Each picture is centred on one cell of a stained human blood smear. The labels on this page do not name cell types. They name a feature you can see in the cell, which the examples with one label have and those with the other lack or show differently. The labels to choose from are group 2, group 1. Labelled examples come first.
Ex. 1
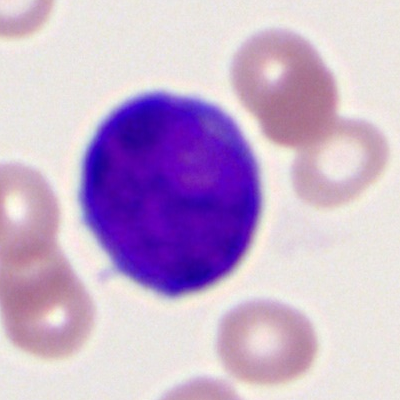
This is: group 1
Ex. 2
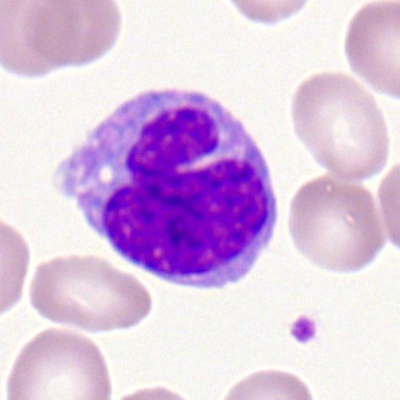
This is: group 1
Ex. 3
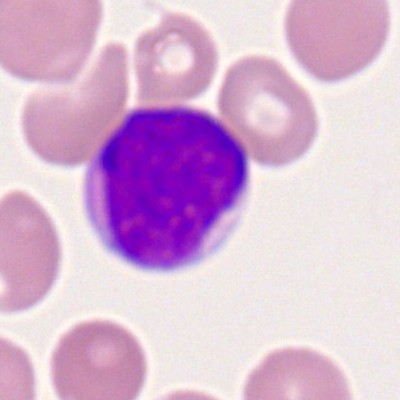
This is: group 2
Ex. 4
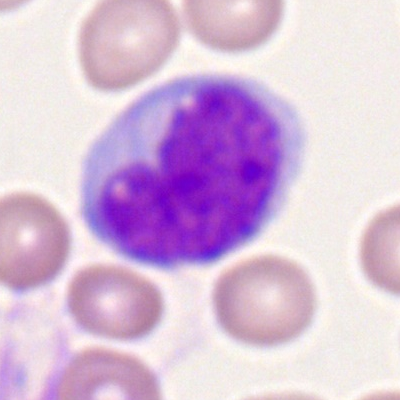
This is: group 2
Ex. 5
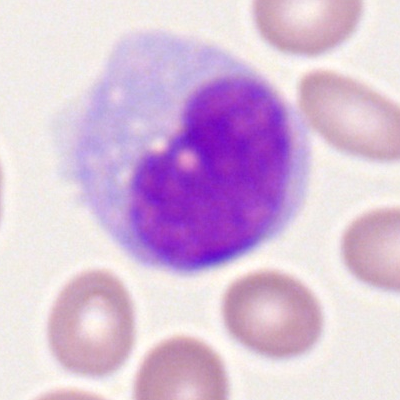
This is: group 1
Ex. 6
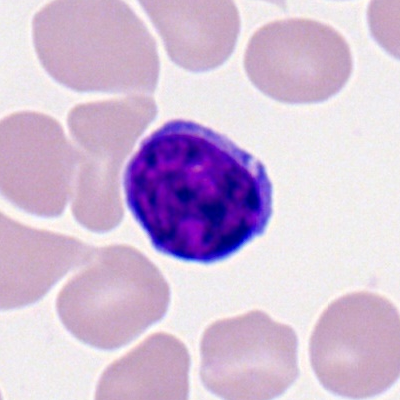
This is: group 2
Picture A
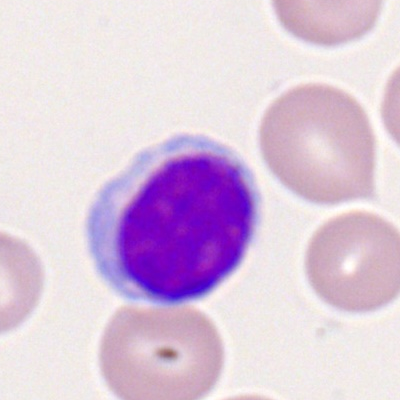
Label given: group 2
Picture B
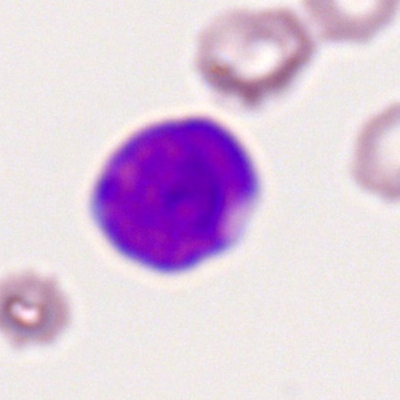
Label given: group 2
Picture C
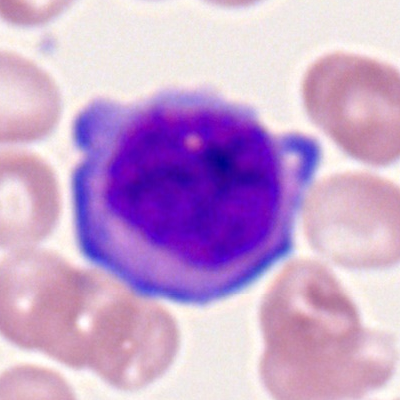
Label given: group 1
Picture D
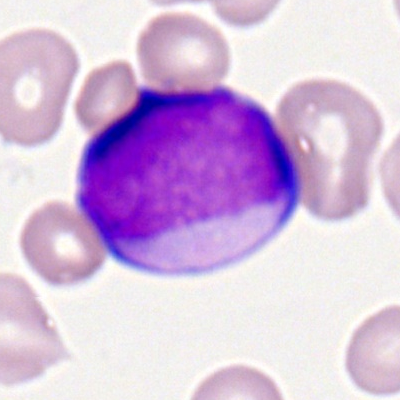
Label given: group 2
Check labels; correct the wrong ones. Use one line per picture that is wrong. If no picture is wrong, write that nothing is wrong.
All correct.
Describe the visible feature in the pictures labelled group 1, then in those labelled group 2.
group 1: ragged outline or projections; group 2: smooth outline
